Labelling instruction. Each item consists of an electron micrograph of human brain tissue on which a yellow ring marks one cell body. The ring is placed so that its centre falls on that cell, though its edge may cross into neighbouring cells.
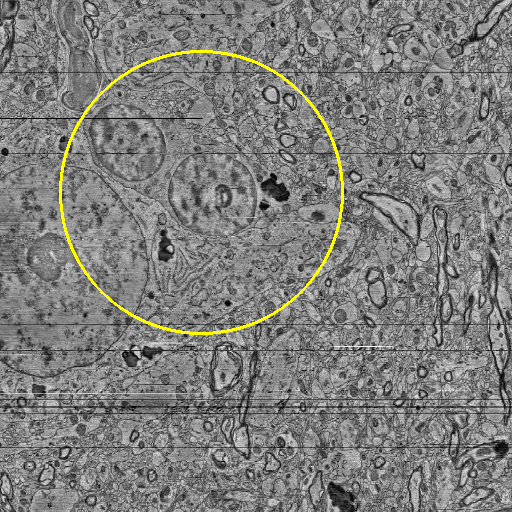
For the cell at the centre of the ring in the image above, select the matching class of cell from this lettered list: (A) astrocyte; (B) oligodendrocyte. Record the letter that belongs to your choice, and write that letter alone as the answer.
B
